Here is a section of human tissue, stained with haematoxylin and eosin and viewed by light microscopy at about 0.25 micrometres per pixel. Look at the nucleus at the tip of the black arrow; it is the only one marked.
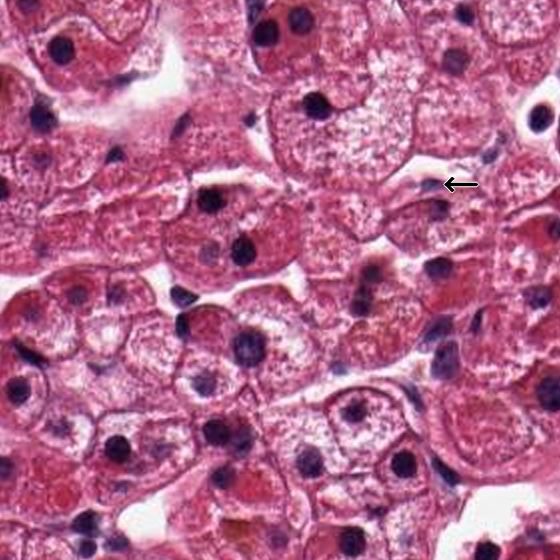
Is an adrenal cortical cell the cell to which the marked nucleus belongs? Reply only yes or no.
no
